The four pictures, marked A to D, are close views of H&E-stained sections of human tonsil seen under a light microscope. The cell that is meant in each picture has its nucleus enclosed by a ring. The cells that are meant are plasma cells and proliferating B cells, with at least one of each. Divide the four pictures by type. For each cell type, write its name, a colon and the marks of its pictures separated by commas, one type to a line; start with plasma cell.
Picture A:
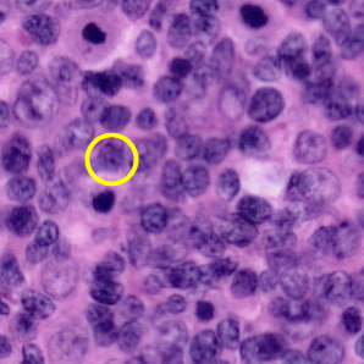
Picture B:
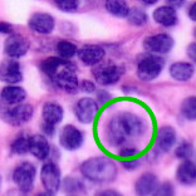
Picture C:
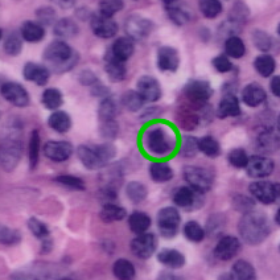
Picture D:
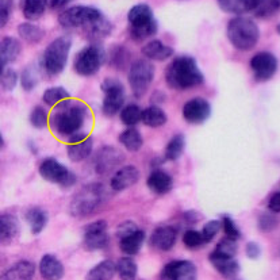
plasma cell: C
proliferating B cell: A, B, D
